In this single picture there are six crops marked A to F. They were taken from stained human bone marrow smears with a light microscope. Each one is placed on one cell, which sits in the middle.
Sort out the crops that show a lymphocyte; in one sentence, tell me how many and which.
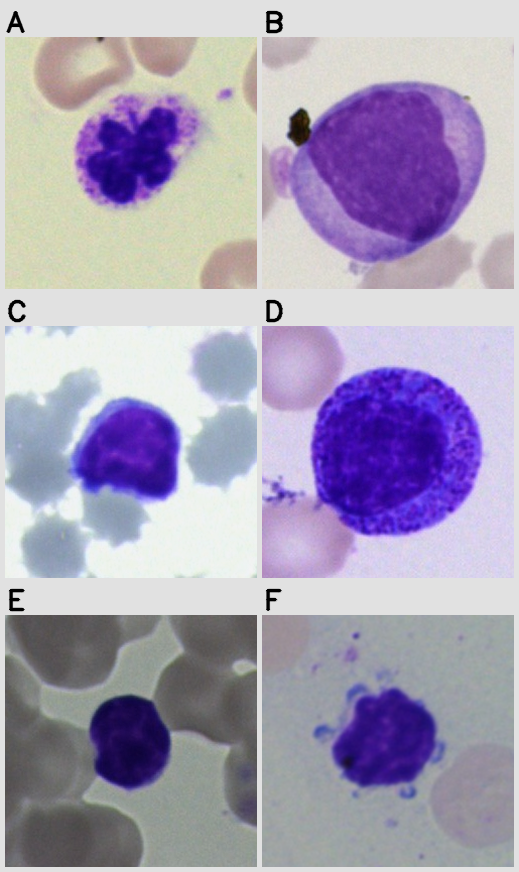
The lymphocytes are represented in crops C, E and F, three crops altogether.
